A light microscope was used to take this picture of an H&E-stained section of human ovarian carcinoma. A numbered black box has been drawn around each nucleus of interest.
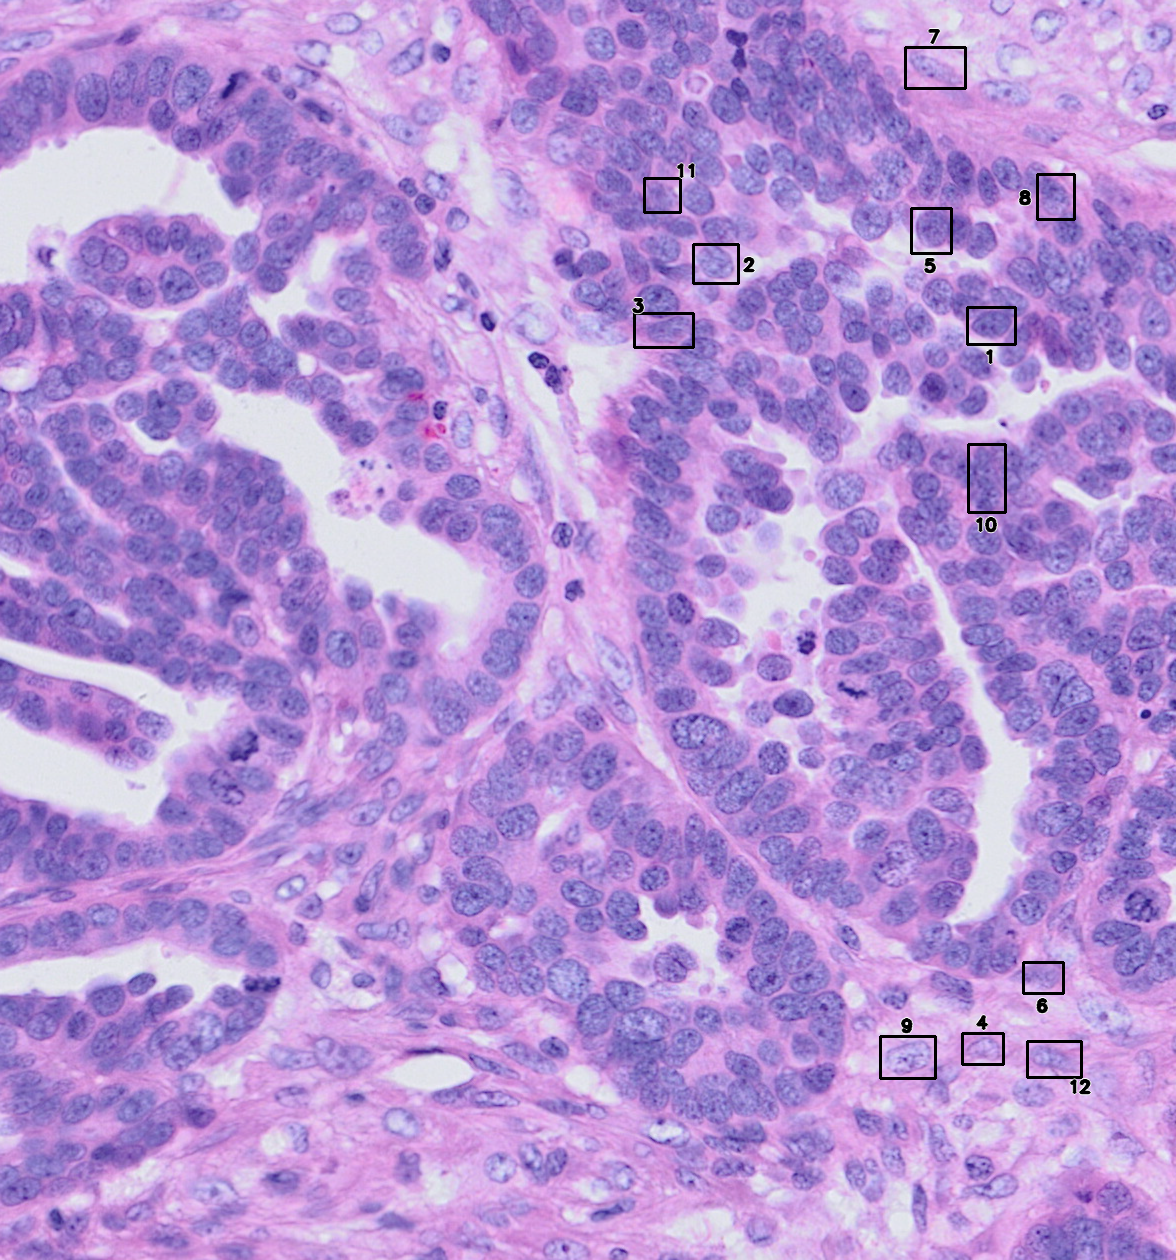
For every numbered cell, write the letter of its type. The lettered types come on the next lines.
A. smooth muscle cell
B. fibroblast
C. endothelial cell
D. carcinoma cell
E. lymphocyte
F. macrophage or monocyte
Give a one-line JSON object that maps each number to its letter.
{"1": "D", "2": "D", "3": "D", "4": "B", "5": "D", "6": "B", "7": "B", "8": "D", "9": "B", "10": "D", "11": "D", "12": "B"}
